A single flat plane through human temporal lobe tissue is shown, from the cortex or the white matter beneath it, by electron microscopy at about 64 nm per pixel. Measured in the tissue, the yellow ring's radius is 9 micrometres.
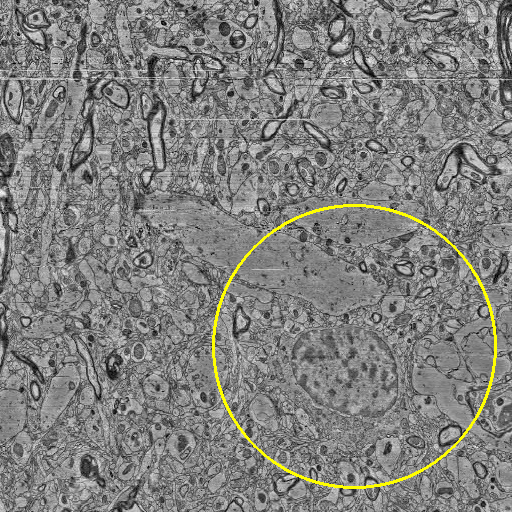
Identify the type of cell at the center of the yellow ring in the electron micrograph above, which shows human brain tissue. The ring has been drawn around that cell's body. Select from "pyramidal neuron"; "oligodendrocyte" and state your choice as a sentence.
The yellow ring is centered on the body of an oligodendrocyte.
